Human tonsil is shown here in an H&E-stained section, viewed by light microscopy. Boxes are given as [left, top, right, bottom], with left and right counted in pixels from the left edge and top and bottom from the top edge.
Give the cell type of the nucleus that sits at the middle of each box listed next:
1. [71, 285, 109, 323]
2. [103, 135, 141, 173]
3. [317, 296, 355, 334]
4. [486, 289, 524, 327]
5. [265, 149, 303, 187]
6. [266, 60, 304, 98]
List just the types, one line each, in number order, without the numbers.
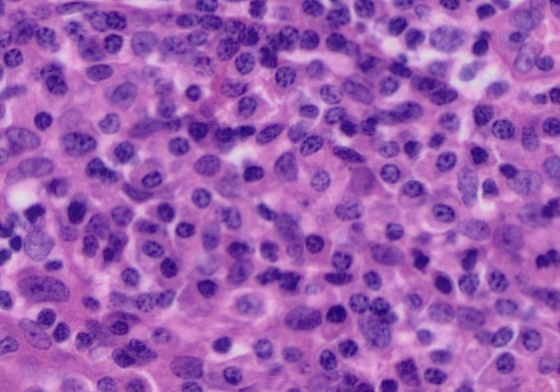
squamous epithelial cell
plasma cell
plasma cell
plasma cell
squamous epithelial cell
plasma cell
